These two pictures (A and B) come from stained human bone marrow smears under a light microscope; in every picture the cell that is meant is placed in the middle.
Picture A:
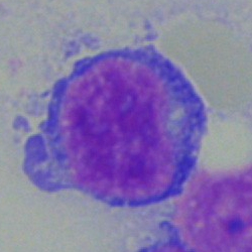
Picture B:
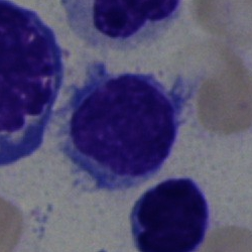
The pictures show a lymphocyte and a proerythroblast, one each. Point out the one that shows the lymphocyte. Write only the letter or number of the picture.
B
